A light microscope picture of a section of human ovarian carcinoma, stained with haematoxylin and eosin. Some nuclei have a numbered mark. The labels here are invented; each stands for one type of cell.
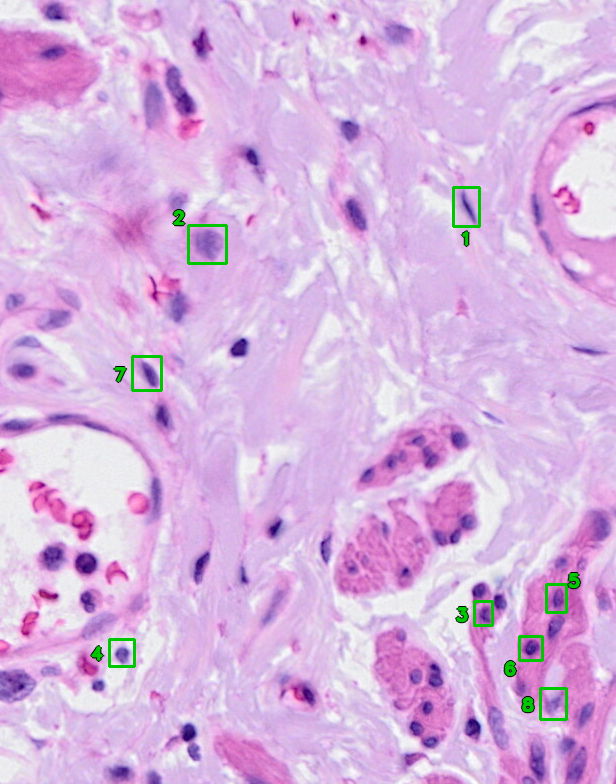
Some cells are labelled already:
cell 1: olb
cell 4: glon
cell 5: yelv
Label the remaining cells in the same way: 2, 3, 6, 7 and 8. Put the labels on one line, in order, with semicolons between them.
olb; yelv; yelv; olb; yelv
